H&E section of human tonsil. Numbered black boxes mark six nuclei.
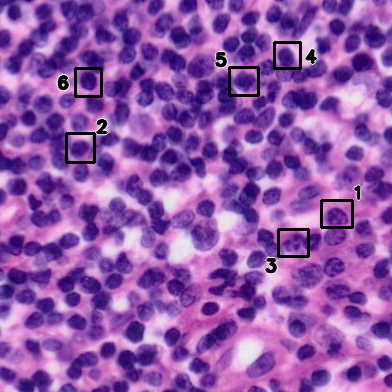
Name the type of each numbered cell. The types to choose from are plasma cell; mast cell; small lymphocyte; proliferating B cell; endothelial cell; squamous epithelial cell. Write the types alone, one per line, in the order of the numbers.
plasma cell
small lymphocyte
plasma cell
small lymphocyte
small lymphocyte
small lymphocyte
